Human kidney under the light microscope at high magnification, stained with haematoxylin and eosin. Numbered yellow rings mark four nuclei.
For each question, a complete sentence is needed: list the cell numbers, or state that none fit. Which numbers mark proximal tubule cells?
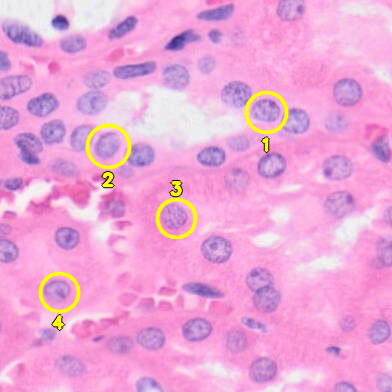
The cells assigned the numbers 3 and 4 are proximal tubule cells.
